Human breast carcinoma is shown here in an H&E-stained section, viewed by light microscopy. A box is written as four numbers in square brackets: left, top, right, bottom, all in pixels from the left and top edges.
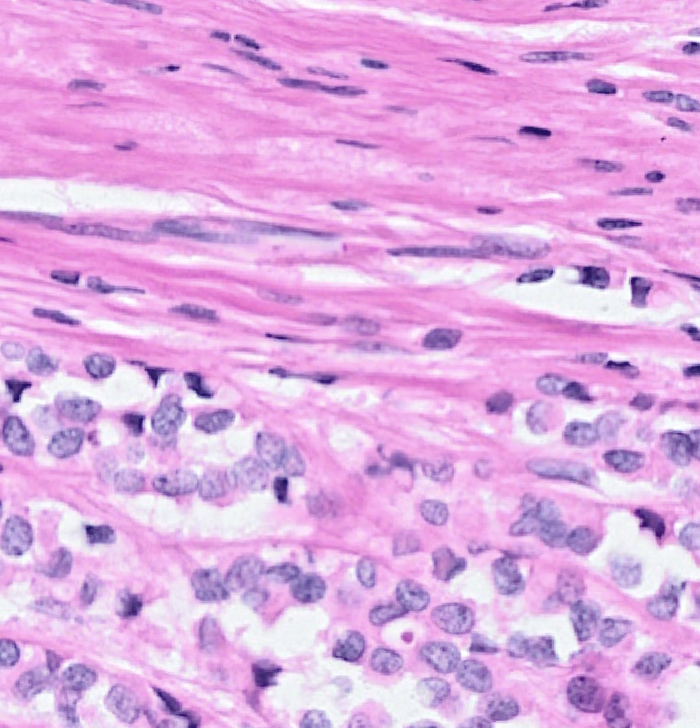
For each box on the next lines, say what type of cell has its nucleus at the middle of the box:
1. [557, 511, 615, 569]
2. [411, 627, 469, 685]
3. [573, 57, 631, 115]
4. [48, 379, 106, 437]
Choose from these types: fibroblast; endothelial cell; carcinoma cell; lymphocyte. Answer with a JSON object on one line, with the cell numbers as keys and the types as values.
{"1": "carcinoma cell", "2": "carcinoma cell", "3": "lymphocyte", "4": "carcinoma cell"}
